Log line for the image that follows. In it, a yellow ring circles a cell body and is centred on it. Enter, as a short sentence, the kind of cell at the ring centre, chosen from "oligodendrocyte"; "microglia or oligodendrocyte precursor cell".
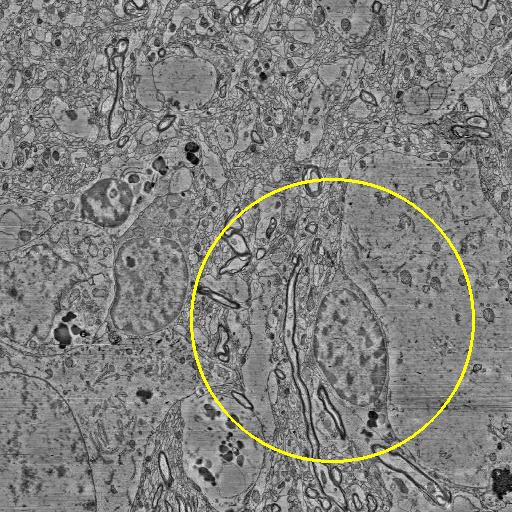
The ring centre is occupied by an oligodendrocyte.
